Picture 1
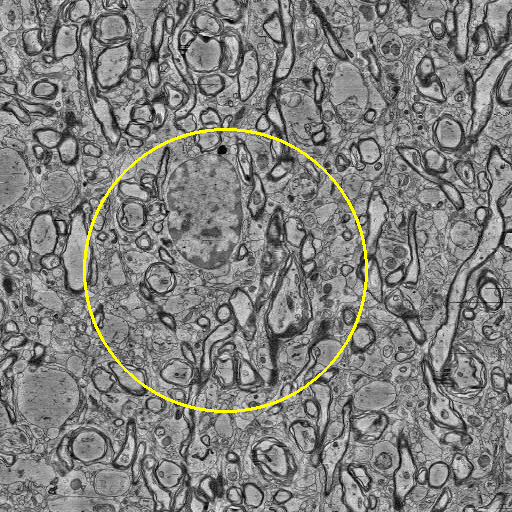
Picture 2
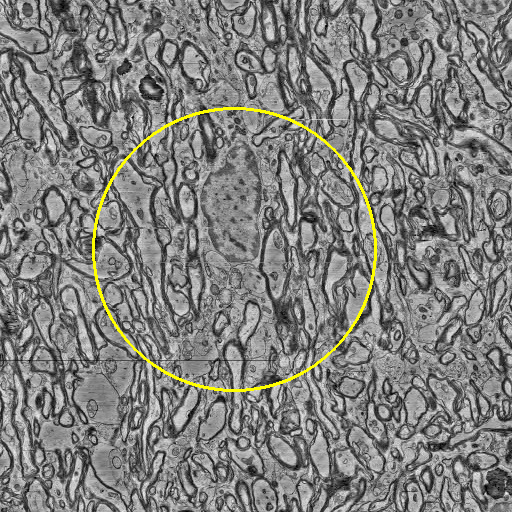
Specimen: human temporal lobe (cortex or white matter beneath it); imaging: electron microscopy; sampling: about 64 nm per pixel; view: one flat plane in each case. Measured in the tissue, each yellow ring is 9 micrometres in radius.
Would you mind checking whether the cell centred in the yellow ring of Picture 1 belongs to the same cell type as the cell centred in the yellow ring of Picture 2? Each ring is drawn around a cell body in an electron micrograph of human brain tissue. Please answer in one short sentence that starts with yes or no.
Yes, both cells are of the same type.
